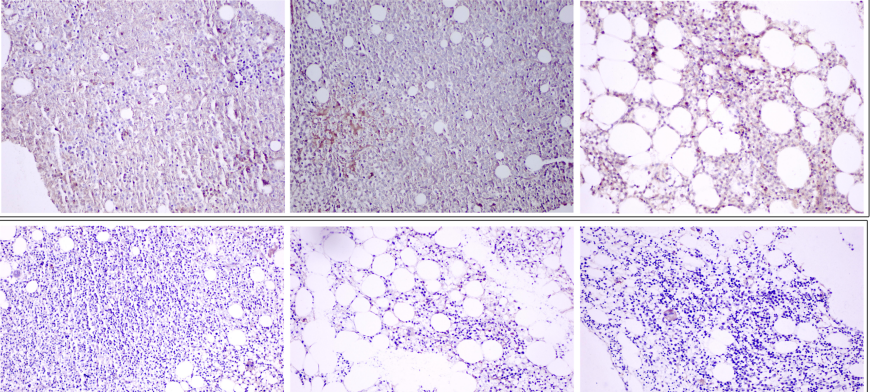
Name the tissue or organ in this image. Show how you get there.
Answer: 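Large round empty fat vacuoles lie scattered among the cells. Densely packed small round nucleated cells fill the spaces between the vacuoles. The answer: bone marrow.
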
